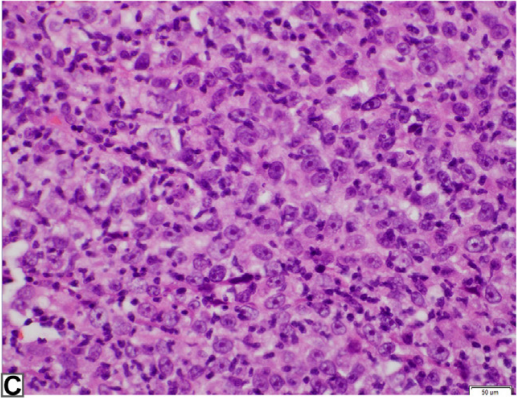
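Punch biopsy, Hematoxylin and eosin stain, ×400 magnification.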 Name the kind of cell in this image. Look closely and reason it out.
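Poorly differentiated tumor cells. Large cells with oval vesicular nuclei and distinct nucleoli. Ample pale pink cytoplasm with no gland or other organised pattern. Cells lie in disorganised sheets.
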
